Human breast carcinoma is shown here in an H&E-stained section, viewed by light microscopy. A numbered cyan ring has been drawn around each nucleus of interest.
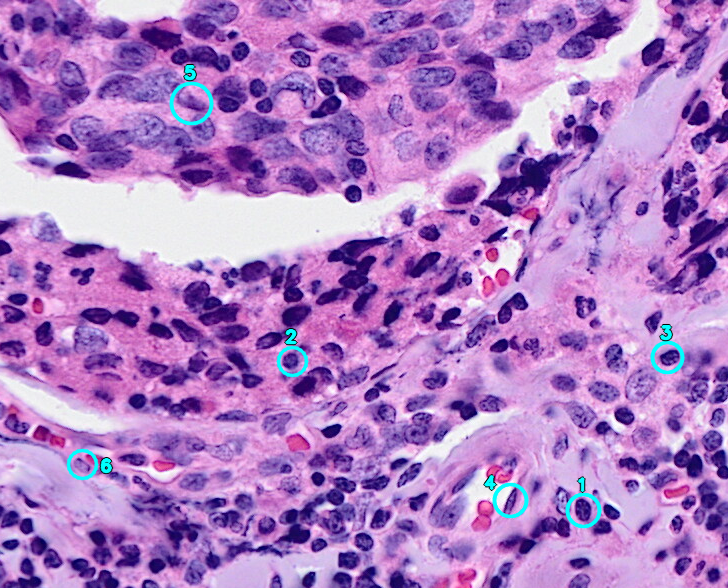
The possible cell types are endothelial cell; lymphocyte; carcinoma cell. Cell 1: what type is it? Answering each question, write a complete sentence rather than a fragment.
The cell identified by the number 1 is a lymphocyte.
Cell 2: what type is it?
That cell with number 2 is a lymphocyte.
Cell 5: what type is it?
Belonging to a carcinoma cell is the nucleus that carries the number 5.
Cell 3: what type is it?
The cell tagged with 3 in this tissue section is a lymphocyte.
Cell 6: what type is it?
Cell 6 of the marked set is an endothelial cell.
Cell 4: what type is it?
The identity of cell 4 is that of an endothelial cell.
